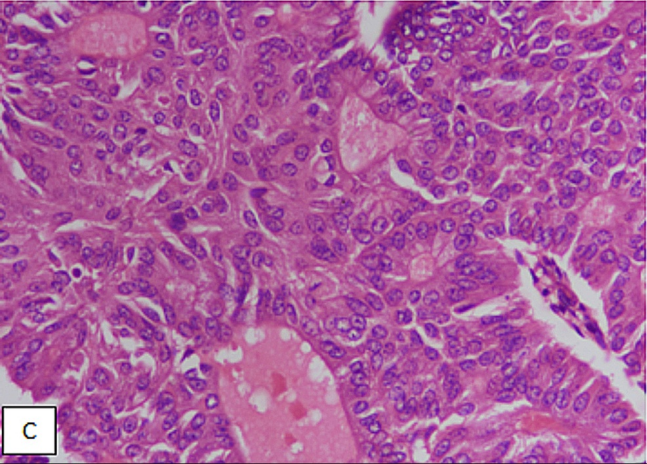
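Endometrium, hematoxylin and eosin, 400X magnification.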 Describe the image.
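Endometrioid carcinoma at high power: columnar tumor cells with pink cytoplasm are crowded around small lumens, some containing pink secretion. The nuclei are oval, fairly uniform and of low grade, with fine chromatin and no prominent nucleoli.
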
